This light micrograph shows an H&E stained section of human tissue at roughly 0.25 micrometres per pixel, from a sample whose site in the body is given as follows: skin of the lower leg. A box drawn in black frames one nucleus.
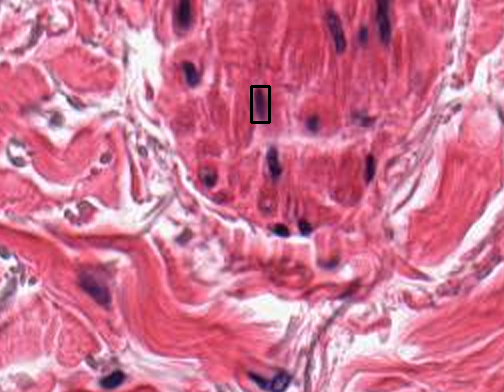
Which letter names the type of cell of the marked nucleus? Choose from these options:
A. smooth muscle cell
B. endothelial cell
A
